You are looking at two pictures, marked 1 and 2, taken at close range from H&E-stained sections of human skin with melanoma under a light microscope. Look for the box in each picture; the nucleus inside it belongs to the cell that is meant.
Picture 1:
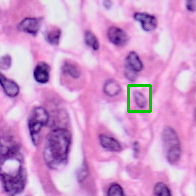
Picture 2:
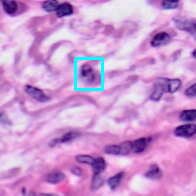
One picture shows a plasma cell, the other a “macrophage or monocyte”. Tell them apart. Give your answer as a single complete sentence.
Picture 1 is of a “macrophage or monocyte”, and picture 2 is of a plasma cell.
